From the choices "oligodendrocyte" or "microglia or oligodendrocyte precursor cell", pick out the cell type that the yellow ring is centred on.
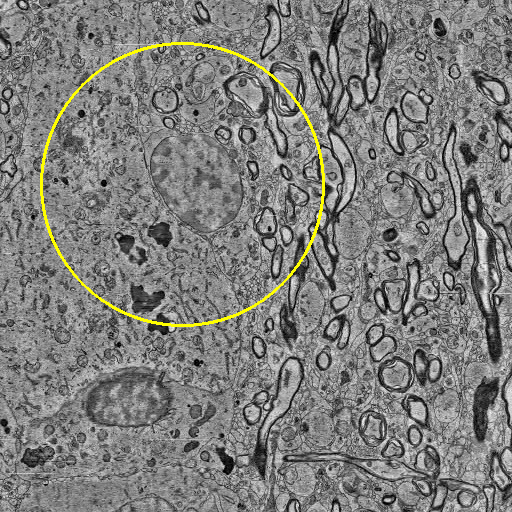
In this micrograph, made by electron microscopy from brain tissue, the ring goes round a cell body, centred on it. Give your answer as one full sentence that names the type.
The yellow ring is centred on a microglial cell or oligodendrocyte precursor cell, whose cell body it encircles in the picture.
